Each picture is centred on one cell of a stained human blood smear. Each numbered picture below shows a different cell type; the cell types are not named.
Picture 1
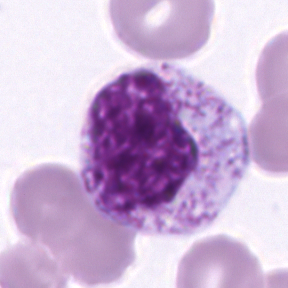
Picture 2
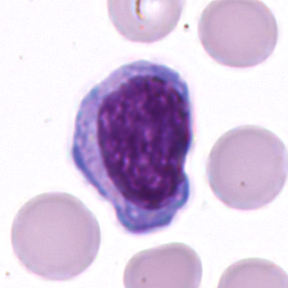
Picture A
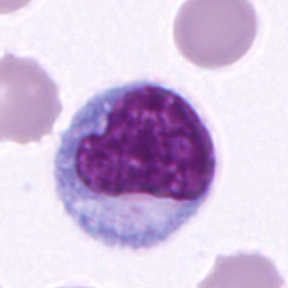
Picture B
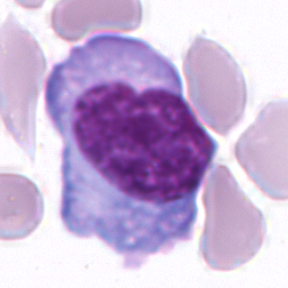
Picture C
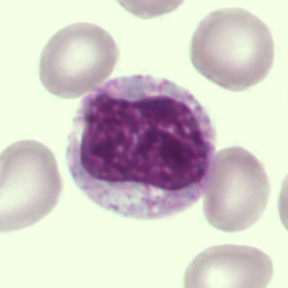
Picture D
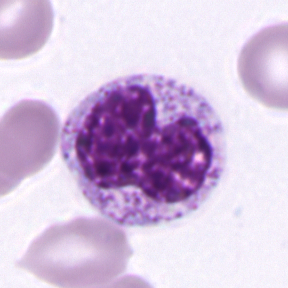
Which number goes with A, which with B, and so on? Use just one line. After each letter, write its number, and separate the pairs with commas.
A 2, B 2, C 1, D 1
